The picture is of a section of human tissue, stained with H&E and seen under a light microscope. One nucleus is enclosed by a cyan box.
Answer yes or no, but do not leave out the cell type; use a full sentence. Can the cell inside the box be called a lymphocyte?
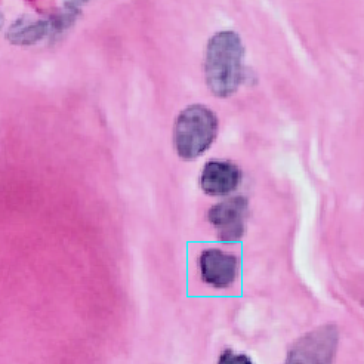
Yes, a lymphocyte is what the cell inside the box represents in this tissue.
